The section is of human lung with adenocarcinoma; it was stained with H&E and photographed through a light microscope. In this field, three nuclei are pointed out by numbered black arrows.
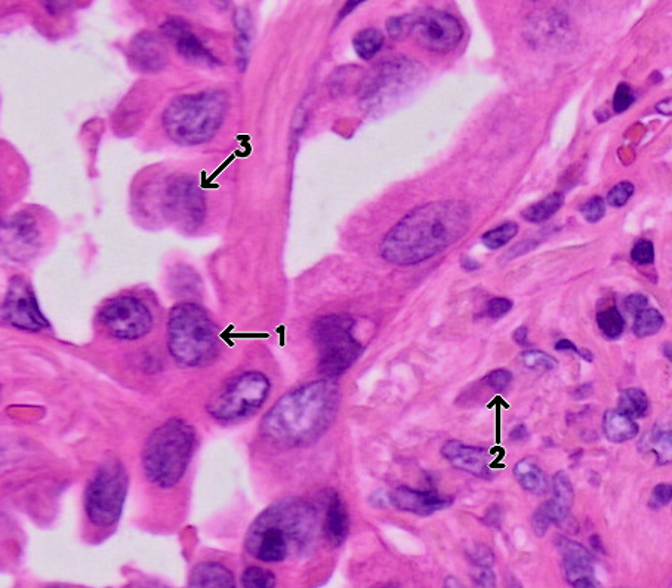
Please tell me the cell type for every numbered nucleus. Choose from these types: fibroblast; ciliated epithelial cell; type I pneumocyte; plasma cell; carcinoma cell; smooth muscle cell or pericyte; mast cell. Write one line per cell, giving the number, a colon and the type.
1: carcinoma cell
2: plasma cell
3: carcinoma cell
